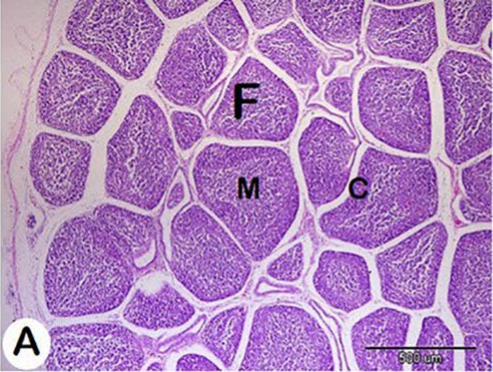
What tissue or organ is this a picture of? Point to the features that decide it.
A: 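Many closely packed polygonal lymphoid follicles fill the section. Follicles are separated by thin pale connective tissue septa. Follicles are densely filled with small purple-staining cells. On this evidence: Bursa.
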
